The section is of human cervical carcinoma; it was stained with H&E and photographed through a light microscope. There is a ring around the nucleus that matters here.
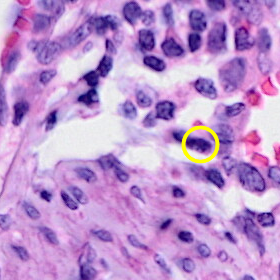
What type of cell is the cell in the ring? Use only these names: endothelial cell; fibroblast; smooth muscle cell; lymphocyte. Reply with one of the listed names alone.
lymphocyte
